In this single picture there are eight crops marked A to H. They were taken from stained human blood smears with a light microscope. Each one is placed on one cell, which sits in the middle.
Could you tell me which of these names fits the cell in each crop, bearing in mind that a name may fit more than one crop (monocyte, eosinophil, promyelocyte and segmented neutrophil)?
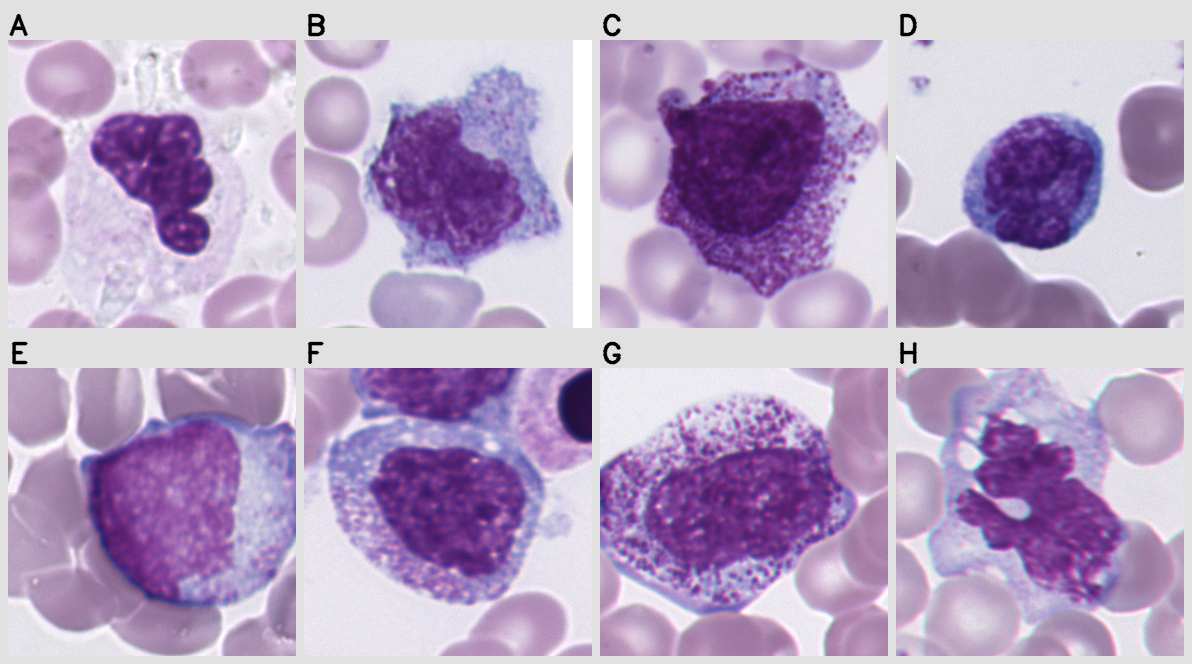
A: segmented neutrophil
B: promyelocyte
C: promyelocyte
D: monocyte
E: promyelocyte
F: promyelocyte
G: promyelocyte
H: monocyte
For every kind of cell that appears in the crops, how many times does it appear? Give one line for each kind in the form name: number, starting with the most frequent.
promyelocyte: 5
monocyte: 2
segmented neutrophil: 1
